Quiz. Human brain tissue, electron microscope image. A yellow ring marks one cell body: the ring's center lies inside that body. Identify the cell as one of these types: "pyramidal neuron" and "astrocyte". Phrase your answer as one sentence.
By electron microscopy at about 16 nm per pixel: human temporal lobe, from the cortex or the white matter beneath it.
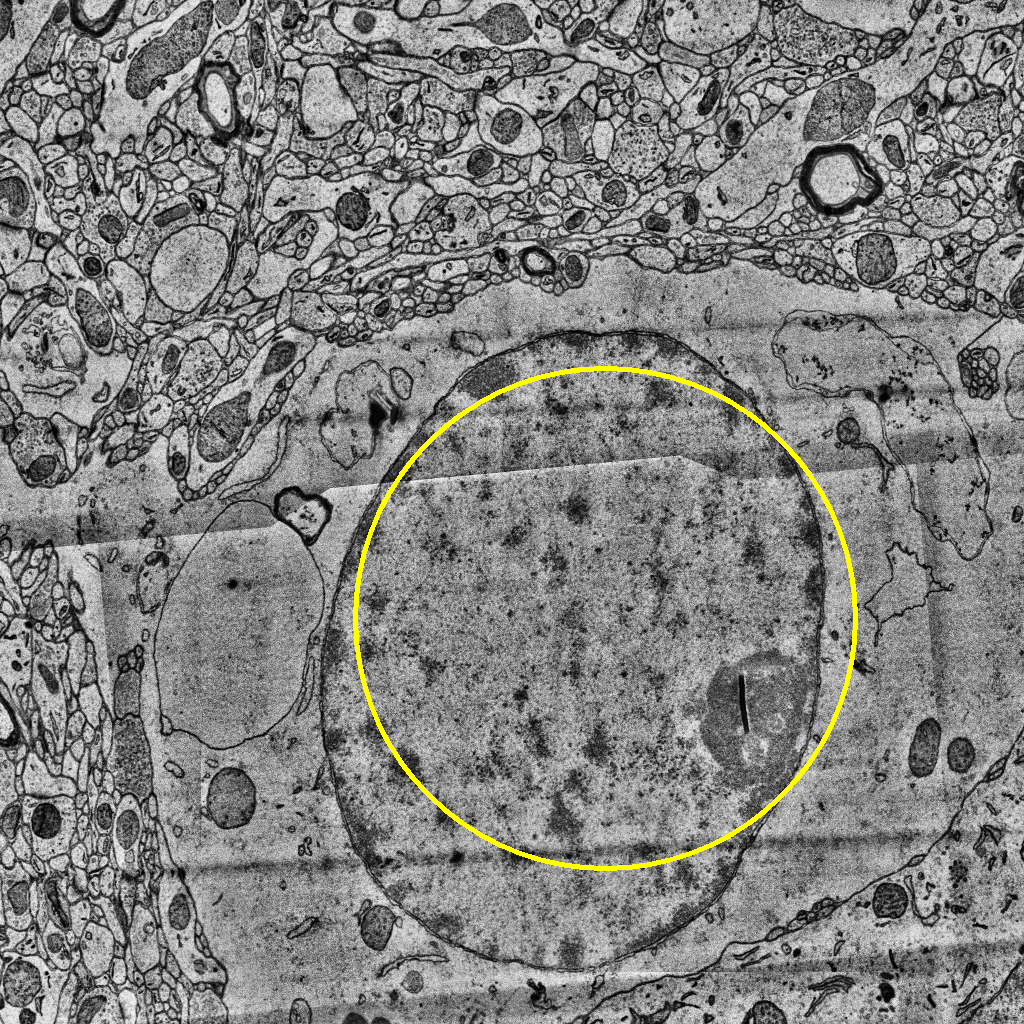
At the center of the ring sits an astrocyte.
